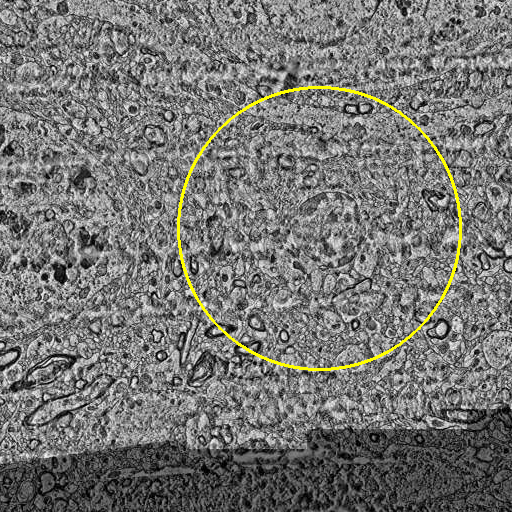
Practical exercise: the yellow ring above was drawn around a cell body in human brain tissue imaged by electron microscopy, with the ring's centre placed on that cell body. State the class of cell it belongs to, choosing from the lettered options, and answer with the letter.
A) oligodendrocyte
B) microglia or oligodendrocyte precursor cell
B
